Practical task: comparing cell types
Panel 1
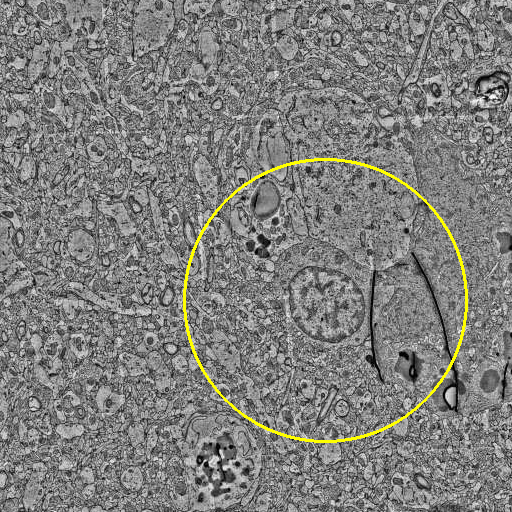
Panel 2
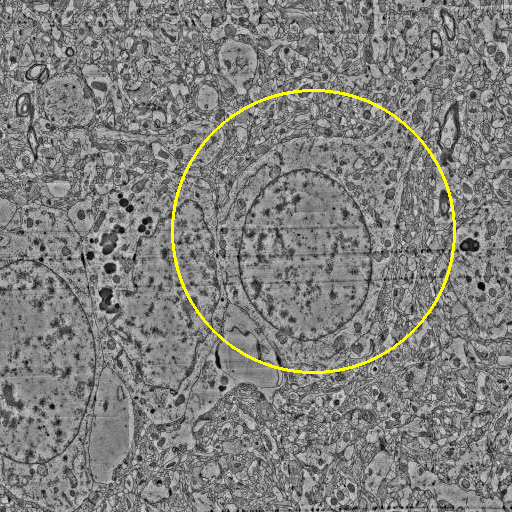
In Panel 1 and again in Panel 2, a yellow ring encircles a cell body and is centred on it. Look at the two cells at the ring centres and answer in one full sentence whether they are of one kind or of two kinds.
The two cells sitting at the ring centres of Panels 1 and 2 are of two kinds.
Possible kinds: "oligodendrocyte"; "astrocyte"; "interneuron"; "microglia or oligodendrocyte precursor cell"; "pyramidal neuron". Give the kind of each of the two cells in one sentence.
The cell in the second picture is a pyramidal neuron, and that in the first is an oligodendrocyte.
